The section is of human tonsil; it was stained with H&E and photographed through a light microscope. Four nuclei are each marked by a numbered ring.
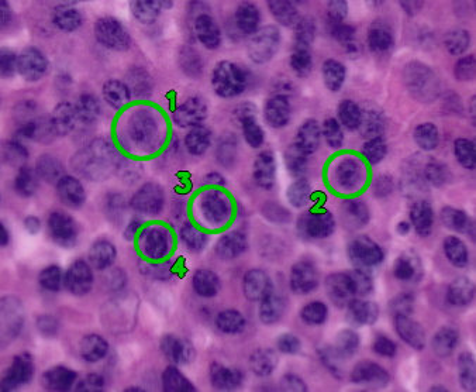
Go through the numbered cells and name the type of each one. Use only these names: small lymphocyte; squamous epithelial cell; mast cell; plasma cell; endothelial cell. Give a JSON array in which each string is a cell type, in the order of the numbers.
["squamous epithelial cell", "plasma cell", "plasma cell", "plasma cell"]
